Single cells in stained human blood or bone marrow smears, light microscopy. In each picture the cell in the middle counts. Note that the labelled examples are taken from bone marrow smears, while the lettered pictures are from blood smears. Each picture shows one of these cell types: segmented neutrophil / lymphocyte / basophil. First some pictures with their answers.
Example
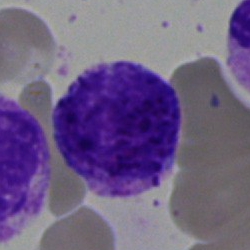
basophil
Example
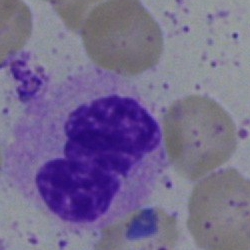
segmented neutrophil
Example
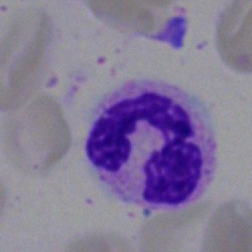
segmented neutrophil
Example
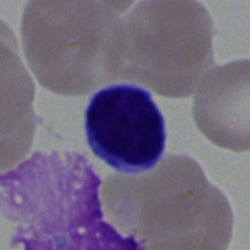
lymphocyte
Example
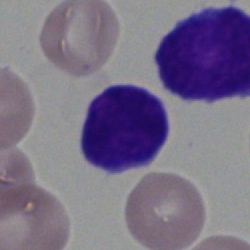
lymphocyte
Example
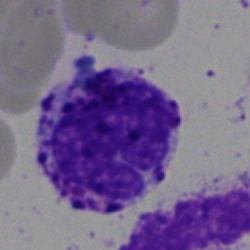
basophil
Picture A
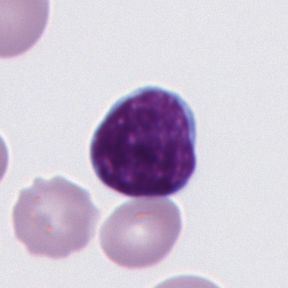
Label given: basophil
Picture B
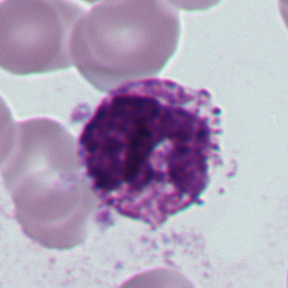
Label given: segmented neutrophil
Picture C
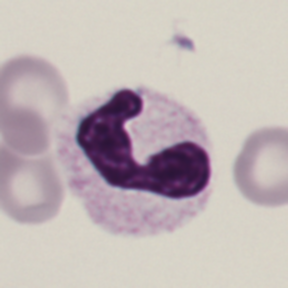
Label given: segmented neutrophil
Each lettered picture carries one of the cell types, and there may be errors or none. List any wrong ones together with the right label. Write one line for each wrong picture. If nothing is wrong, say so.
A: change basophil to lymphocyte
B: change segmented neutrophil to basophil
